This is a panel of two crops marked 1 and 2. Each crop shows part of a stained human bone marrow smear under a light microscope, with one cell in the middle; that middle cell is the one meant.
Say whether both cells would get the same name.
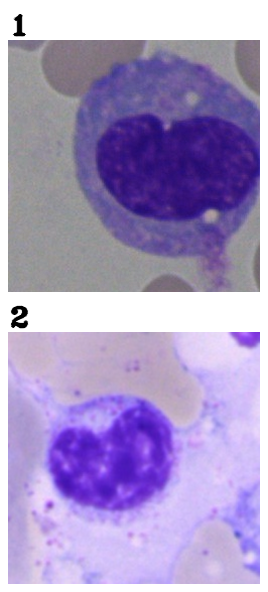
no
